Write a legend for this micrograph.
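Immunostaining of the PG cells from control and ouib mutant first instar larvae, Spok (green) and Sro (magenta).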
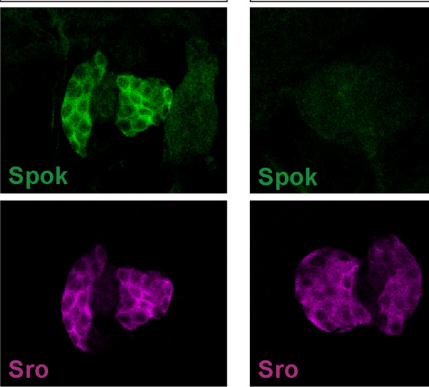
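This is a small cluster of gland cells shown in four fluorescence images: a green row above a magenta row, with two columns side by side. In the magenta images of both columns, the cells form a compact paired mass of polygonal cells. Their cytoplasm is stained and their cell borders stand out brighter, so the outlines form a network. The dark round centres within each cell are most likely the unstained nuclei. In the left column, the green image shows the same cells brightly labelled in their cytoplasm and along their borders. In the right column, the green image shows only a faint, diffuse glow with no cell outlines.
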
